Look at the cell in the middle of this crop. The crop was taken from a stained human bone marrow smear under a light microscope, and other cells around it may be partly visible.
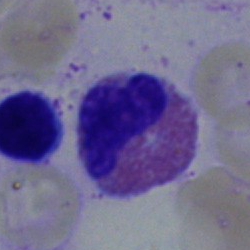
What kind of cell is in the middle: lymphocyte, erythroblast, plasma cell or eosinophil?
eosinophil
